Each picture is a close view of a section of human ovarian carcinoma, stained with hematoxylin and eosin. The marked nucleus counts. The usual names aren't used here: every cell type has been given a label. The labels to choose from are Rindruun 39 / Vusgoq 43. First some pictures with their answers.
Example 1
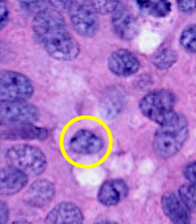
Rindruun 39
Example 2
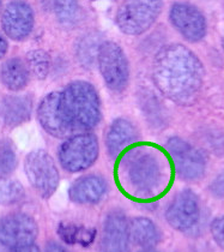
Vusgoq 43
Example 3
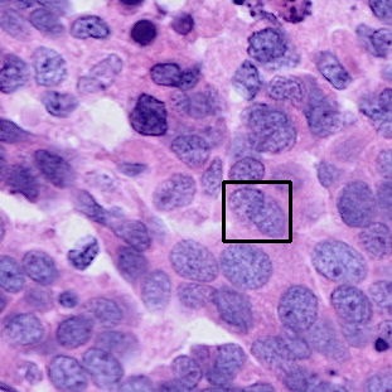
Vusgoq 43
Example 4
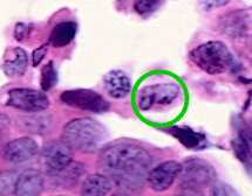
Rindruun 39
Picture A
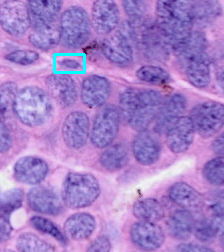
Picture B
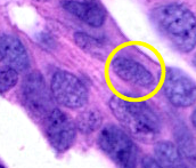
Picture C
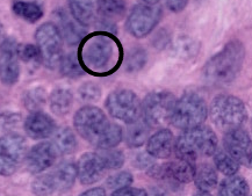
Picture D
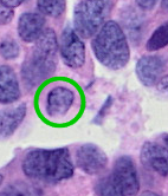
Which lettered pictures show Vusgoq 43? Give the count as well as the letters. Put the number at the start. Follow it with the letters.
Count: 2 (B, C)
